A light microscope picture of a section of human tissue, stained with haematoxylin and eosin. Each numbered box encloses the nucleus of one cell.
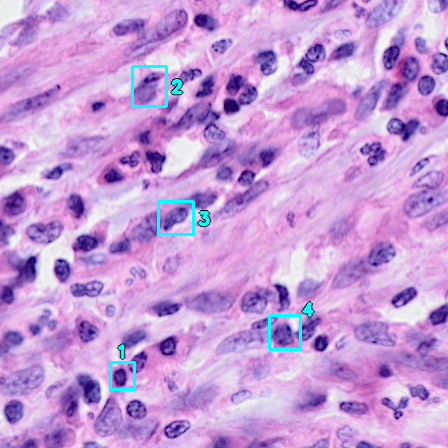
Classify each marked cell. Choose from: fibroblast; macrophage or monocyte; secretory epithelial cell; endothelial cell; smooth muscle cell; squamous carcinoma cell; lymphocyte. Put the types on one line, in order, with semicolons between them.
lymphocyte; macrophage or monocyte; lymphocyte; lymphocyte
